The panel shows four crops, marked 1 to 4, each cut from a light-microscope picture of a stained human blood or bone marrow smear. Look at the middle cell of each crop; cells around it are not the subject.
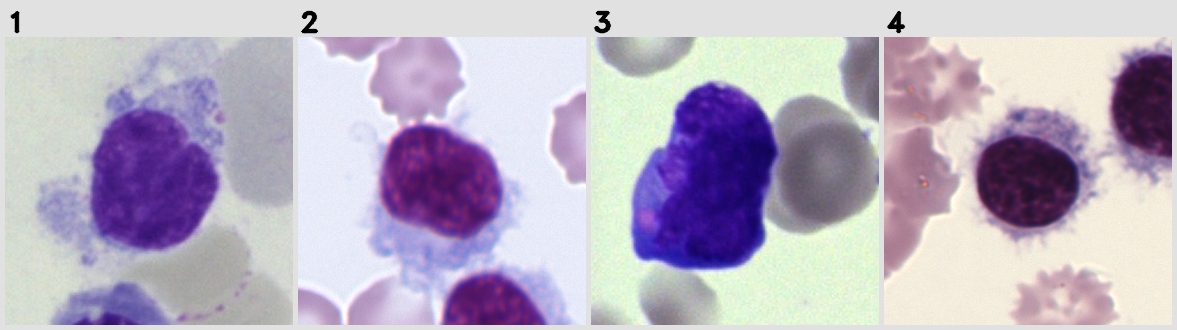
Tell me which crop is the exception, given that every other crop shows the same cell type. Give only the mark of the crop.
3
